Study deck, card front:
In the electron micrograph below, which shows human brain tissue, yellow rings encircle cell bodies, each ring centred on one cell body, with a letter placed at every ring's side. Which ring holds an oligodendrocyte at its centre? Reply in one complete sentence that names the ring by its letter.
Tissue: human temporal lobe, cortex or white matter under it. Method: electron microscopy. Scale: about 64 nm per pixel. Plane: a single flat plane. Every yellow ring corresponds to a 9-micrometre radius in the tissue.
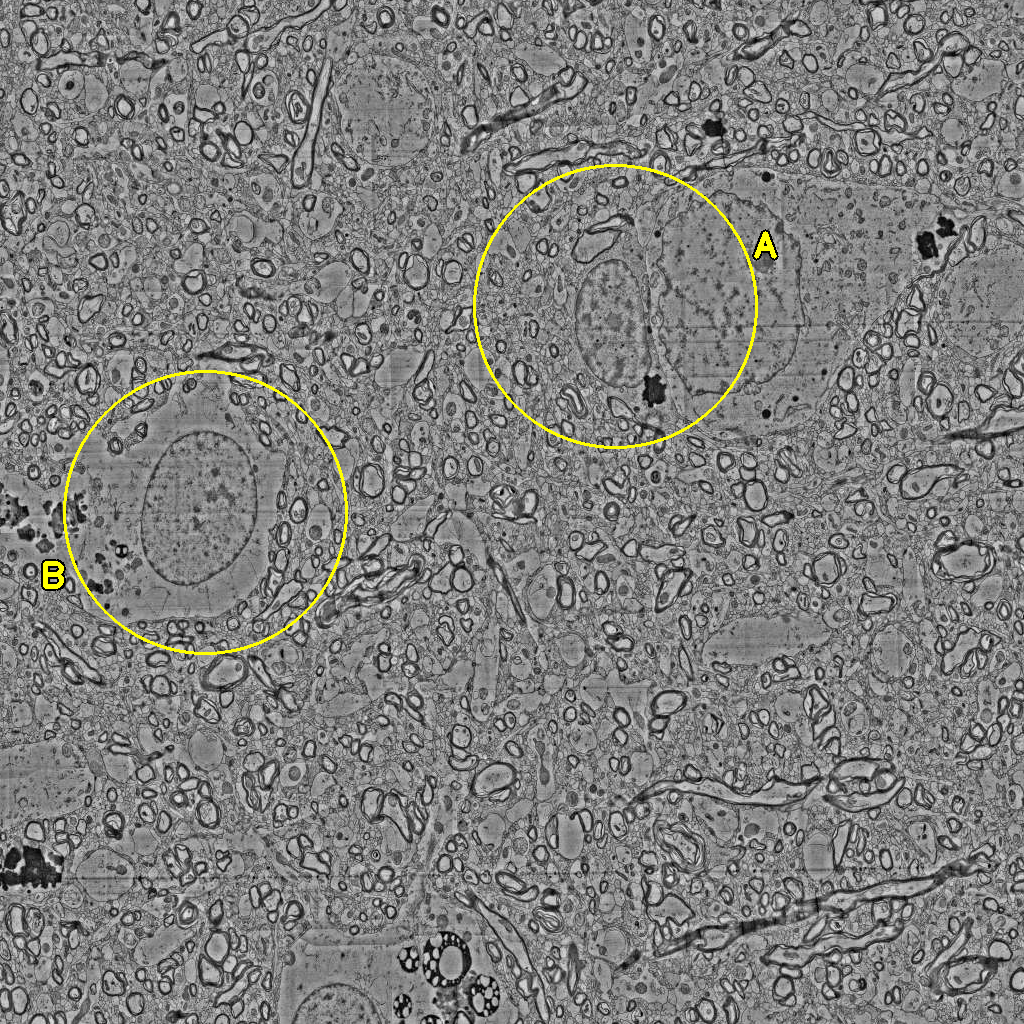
The cell asked for sits at the centre of ring A in the picture.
